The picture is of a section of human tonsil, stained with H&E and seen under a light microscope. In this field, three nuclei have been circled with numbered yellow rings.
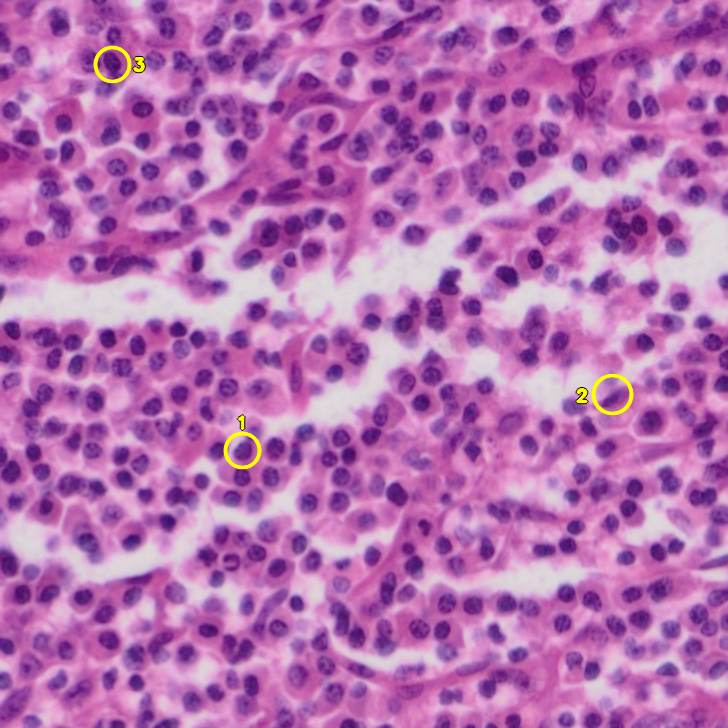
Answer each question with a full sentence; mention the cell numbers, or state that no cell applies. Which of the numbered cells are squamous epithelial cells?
A single numbered cell, cell 2, is a squamous epithelial cell.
